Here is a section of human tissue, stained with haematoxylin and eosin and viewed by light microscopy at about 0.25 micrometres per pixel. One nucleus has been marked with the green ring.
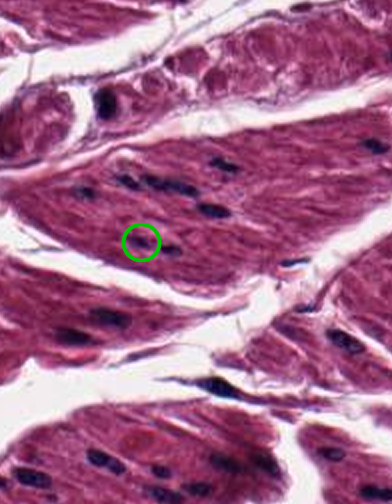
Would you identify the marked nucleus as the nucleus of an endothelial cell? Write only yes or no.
no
